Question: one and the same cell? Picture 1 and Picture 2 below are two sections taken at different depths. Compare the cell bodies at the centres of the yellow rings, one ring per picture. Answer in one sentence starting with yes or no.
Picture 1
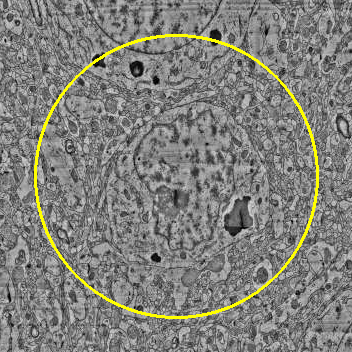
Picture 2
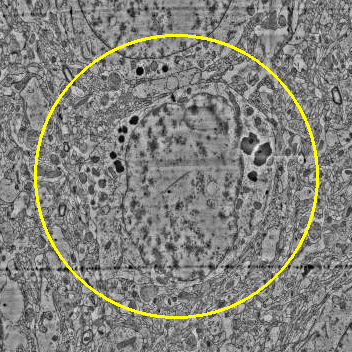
Yes, both rings identify a single, shared cell.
